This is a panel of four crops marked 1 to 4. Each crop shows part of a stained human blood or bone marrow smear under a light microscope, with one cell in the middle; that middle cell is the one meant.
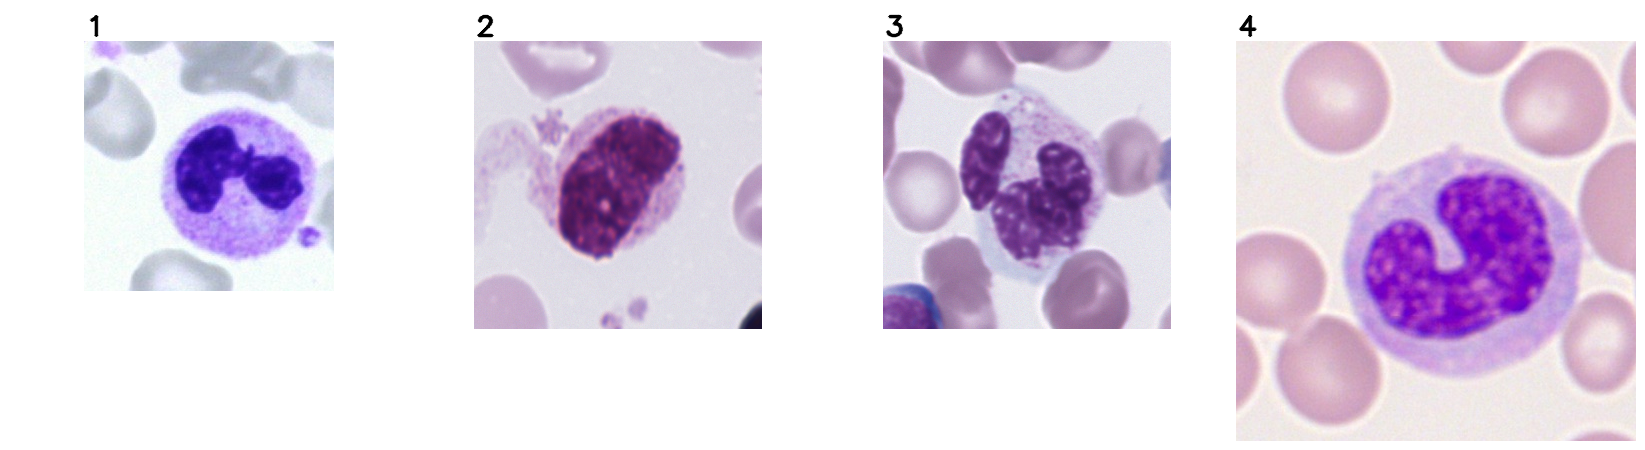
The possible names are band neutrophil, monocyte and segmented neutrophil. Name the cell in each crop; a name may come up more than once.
1: segmented neutrophil
2: band neutrophil
3: segmented neutrophil
4: monocyte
